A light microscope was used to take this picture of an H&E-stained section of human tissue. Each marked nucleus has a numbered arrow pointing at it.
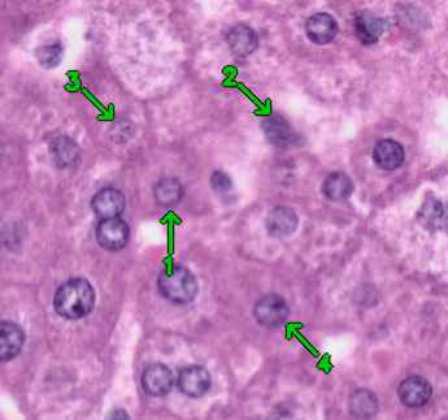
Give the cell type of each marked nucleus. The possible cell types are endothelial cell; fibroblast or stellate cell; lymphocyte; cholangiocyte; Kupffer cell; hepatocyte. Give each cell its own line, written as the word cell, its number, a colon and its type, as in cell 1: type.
cell 1: hepatocyte
cell 2: Kupffer cell
cell 3: hepatocyte
cell 4: hepatocyte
